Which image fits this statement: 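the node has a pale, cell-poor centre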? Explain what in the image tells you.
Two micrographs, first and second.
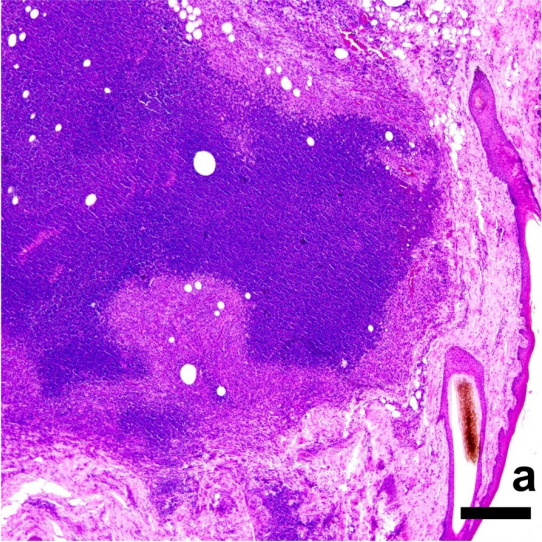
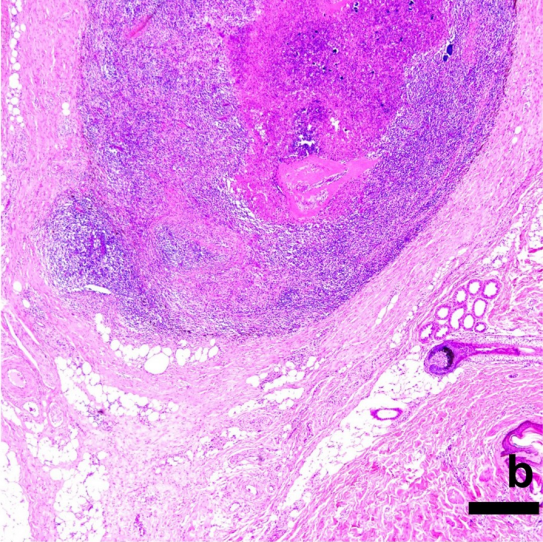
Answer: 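The second image. First image: most of the node is densely packed with dark purple cells.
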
